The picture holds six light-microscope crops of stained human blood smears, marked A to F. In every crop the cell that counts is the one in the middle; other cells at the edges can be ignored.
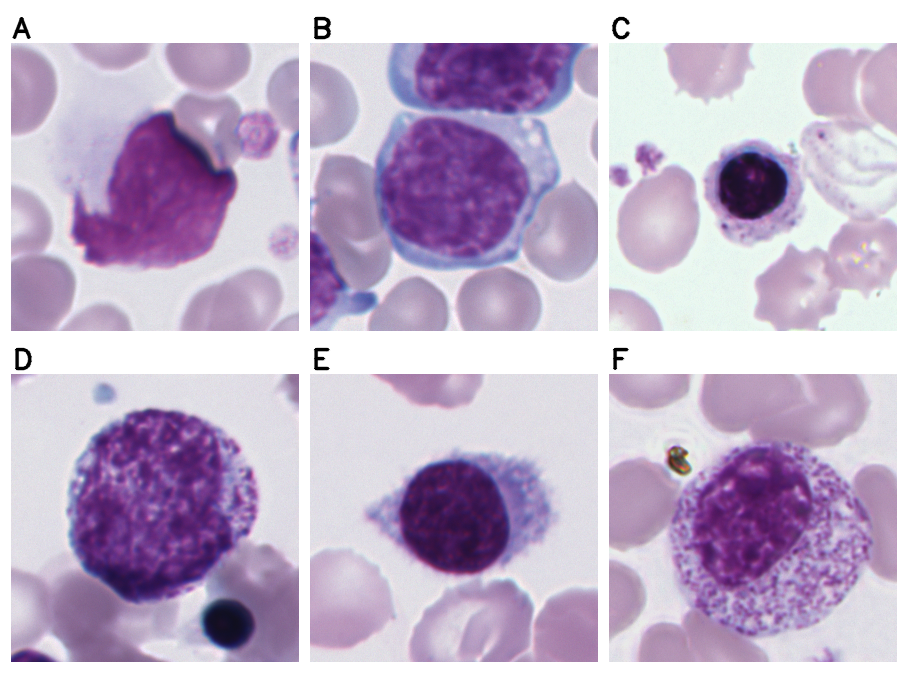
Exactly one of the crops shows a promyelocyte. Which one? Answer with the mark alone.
D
